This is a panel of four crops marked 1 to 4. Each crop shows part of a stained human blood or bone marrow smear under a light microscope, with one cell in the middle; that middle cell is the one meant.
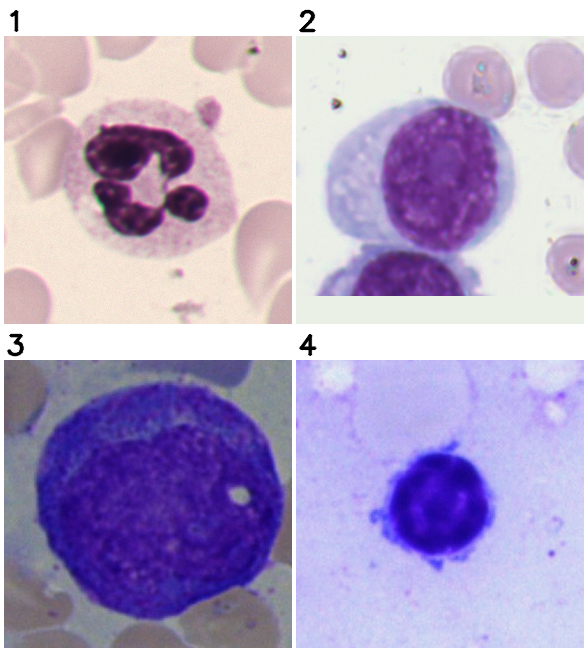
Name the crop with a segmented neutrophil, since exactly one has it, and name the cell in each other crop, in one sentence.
Crop 1 comes out as a segmented neutrophil, while crop 2 is a plasma cell, crop 3 is a promyelocyte and crop 4 is a lymphocyte.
